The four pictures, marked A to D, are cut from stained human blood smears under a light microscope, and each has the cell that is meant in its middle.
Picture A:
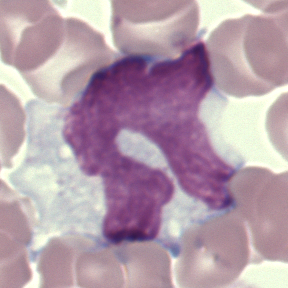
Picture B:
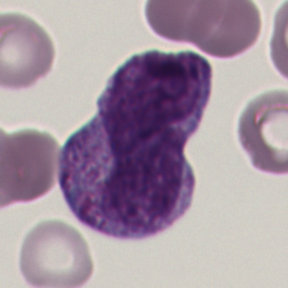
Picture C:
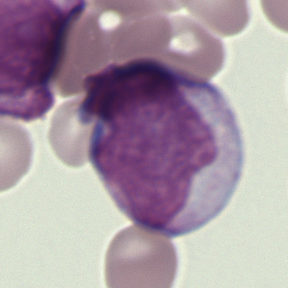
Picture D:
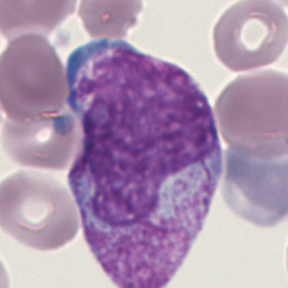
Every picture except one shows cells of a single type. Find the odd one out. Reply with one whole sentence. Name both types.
The others show atypical promyelocytes, but picture A shows a monocyte.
